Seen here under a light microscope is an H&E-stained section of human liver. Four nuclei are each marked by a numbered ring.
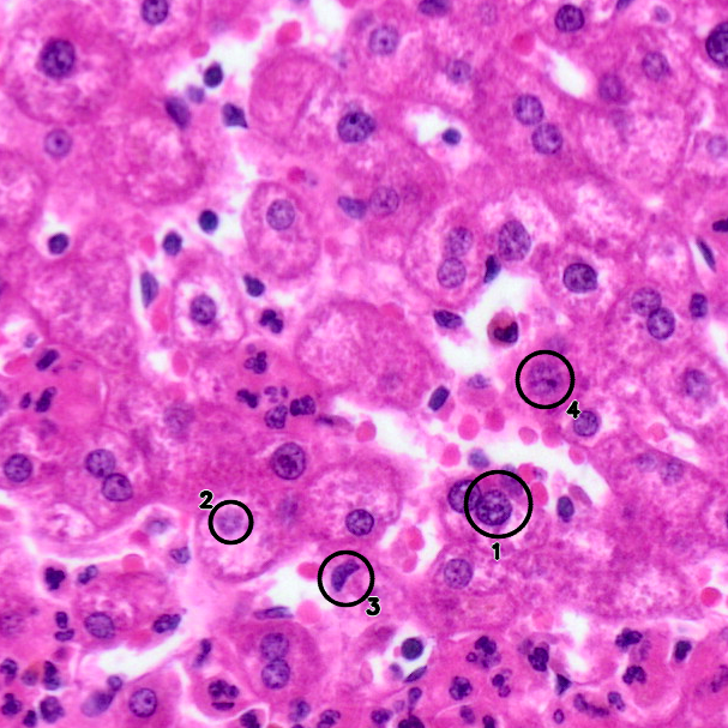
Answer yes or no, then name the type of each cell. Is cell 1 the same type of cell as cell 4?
Yes, cells 1 and 4 both belong among the hepatocytes.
